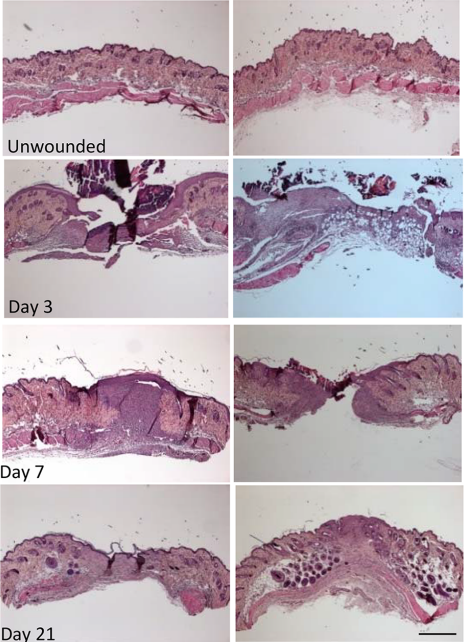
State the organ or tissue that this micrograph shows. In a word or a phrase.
Skin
